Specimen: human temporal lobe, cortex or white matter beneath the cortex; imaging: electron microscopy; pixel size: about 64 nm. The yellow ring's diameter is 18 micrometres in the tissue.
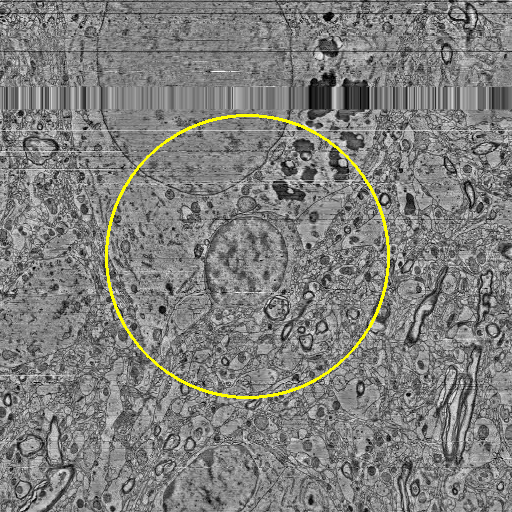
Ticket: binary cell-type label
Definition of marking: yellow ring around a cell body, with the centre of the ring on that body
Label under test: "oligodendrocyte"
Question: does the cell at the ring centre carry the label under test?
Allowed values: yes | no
yes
